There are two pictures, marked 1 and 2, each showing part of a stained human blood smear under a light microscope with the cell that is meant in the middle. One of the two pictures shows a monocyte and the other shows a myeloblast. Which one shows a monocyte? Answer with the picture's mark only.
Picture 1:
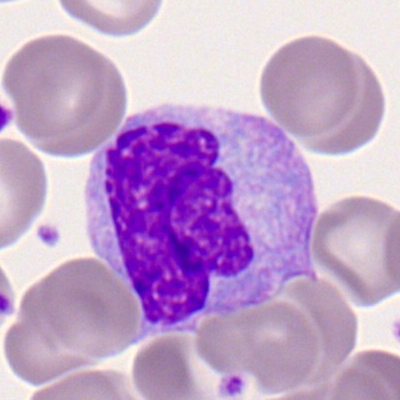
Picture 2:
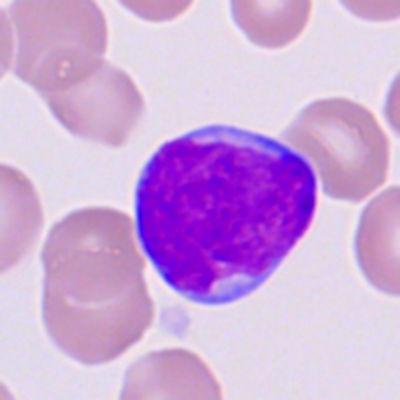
1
